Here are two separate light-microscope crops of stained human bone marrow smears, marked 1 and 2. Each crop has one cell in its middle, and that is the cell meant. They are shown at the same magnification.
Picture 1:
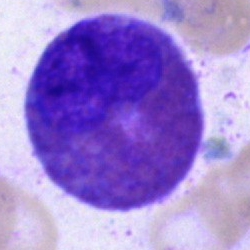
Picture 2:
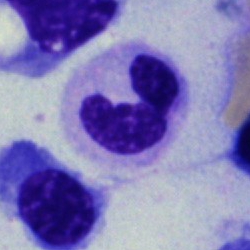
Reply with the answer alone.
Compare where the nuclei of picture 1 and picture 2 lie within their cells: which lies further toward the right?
2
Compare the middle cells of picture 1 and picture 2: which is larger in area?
1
